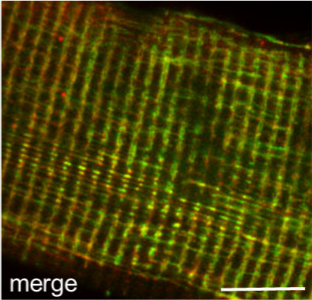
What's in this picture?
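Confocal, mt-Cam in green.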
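A single wide fiber runs across the field, and within it the fluorescence is laid out as a regular grid of fine transverse bands spaced evenly along its length, joined by thinner longitudinal lines. Green and red largely coincide, so most of the pattern appears yellow, with only a few separate red or green dots.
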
